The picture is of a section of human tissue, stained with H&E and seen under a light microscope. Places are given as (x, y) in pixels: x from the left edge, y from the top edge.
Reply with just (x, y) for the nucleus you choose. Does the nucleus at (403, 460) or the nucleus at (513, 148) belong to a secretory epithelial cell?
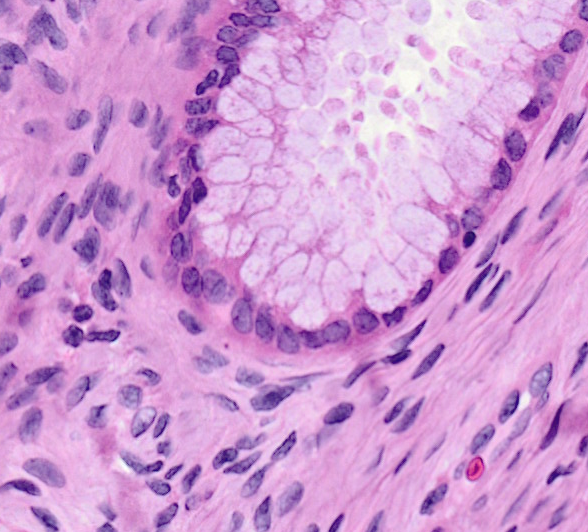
(513, 148)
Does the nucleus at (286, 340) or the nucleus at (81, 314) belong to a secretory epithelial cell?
(286, 340)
